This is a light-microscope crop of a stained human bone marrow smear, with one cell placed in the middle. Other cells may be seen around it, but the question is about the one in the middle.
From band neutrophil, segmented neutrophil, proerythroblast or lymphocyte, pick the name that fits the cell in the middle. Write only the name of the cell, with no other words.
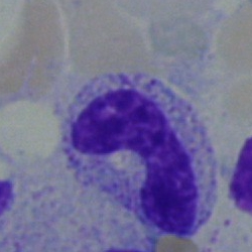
band neutrophil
